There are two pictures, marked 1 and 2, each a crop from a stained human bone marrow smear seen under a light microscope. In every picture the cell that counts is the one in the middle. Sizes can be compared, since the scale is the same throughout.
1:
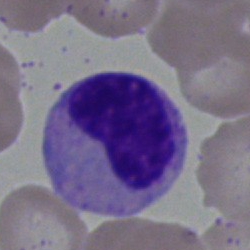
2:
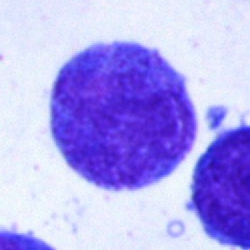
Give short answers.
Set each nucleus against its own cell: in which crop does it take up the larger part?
2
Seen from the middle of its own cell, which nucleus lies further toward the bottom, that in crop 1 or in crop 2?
2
